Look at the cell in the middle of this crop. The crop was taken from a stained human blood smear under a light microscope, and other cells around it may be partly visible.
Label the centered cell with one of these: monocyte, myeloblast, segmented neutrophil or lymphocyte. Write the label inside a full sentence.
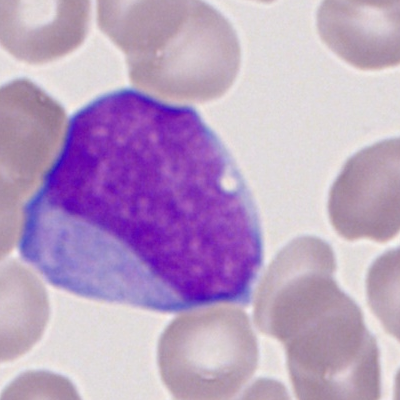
In this crop, the cell at the very middle is a myeloblast.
